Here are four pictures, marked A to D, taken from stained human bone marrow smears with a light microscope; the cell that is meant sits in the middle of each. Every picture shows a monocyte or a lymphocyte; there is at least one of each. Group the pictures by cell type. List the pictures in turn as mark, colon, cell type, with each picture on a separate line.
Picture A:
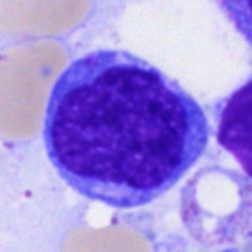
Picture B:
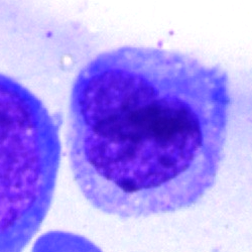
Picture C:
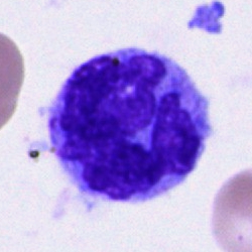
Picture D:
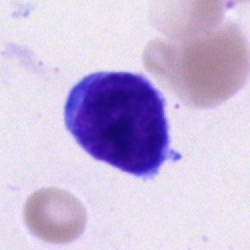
A: monocyte
B: monocyte
C: monocyte
D: lymphocyte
